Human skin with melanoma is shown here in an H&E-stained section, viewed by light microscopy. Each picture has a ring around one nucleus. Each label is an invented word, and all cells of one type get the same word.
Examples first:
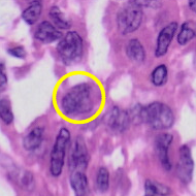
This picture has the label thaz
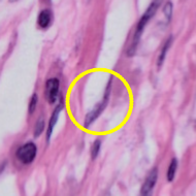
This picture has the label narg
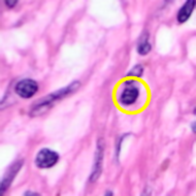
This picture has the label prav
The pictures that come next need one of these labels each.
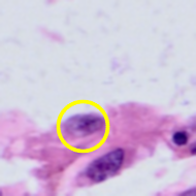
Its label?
thaz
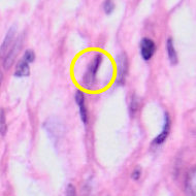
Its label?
narg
